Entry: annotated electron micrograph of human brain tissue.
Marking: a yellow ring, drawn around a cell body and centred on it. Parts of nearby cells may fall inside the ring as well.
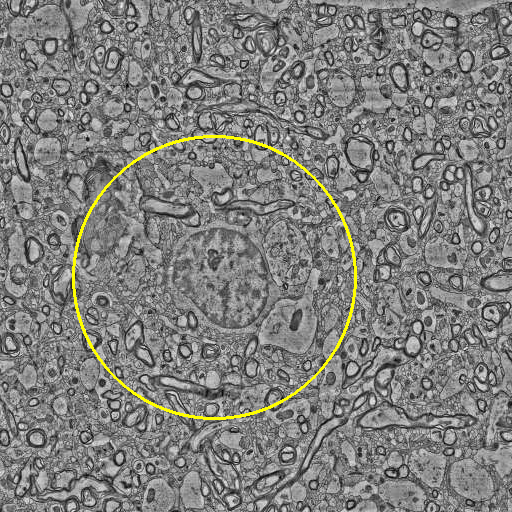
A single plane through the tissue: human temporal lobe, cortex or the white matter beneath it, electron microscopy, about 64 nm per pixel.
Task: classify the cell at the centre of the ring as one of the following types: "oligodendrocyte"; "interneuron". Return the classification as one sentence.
The marked cell is classified as an oligodendrocyte.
